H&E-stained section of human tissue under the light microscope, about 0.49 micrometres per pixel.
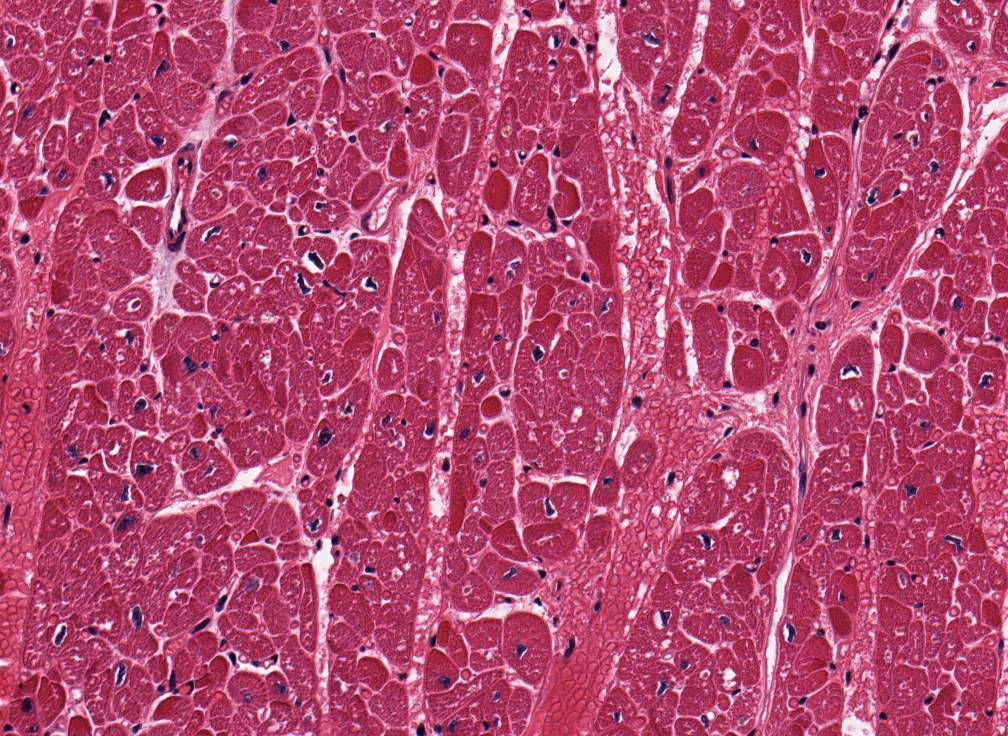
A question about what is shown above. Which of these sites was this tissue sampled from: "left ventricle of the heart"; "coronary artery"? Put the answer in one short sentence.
The site this tissue was sampled from is the left ventricle of the heart.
